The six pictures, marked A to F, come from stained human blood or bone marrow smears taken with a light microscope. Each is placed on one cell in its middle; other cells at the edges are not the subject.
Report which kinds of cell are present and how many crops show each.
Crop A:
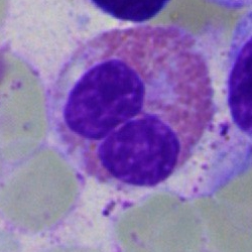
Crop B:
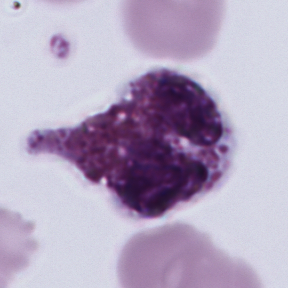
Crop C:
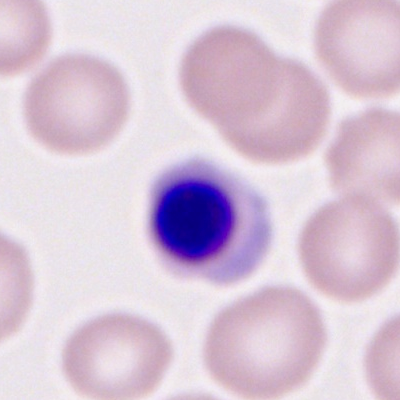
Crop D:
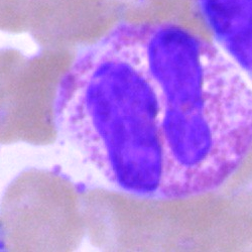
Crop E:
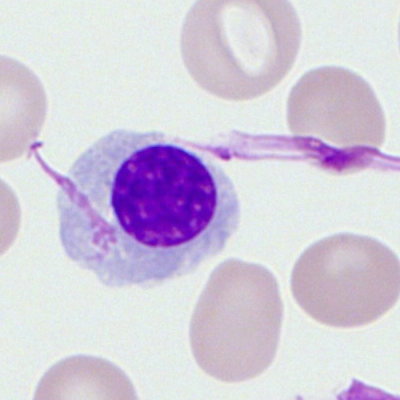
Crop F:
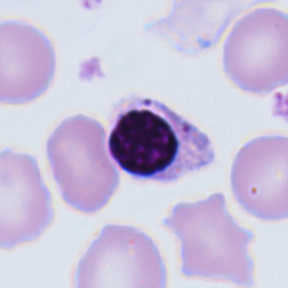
eosinophil: 3
normoblast: 3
